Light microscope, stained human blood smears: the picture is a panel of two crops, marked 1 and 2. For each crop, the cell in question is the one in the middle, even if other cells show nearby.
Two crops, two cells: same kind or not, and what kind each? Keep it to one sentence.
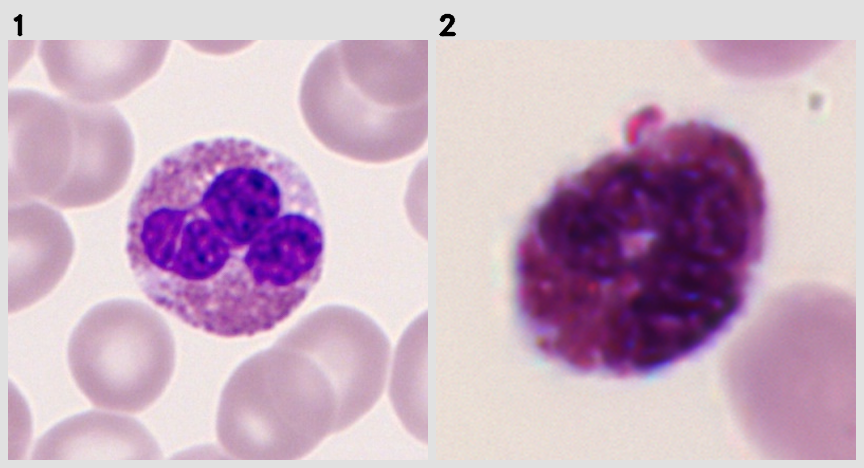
Yes, both crops show eosinophils, and that holds for each one.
